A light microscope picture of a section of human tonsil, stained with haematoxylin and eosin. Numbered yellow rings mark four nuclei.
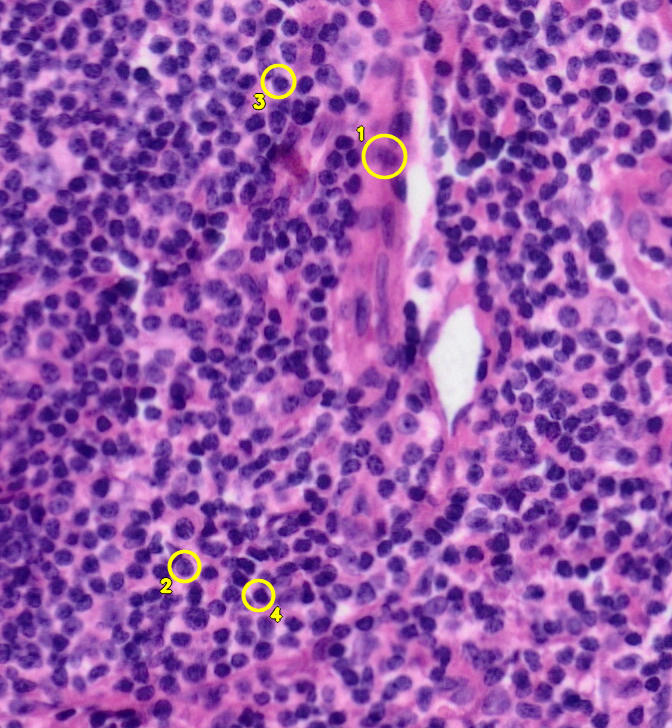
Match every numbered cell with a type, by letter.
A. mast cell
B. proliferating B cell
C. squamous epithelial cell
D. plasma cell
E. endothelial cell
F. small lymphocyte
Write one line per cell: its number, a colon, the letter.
1: E
2: F
3: F
4: F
